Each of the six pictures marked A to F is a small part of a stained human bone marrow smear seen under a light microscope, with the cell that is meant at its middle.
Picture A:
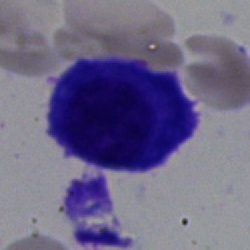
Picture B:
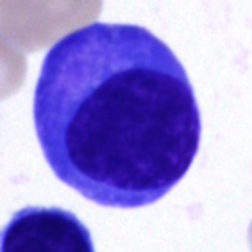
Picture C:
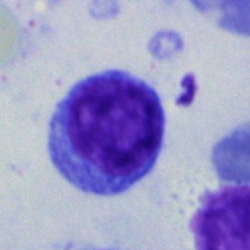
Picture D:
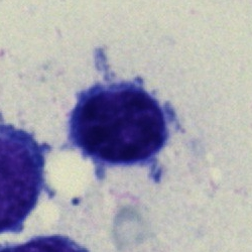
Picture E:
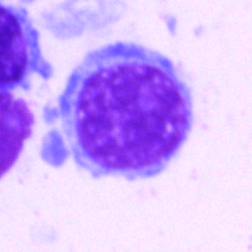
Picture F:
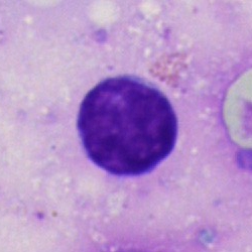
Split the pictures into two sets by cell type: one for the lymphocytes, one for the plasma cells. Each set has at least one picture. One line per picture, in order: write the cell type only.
plasma cell
plasma cell
lymphocyte
lymphocyte
lymphocyte
lymphocyte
